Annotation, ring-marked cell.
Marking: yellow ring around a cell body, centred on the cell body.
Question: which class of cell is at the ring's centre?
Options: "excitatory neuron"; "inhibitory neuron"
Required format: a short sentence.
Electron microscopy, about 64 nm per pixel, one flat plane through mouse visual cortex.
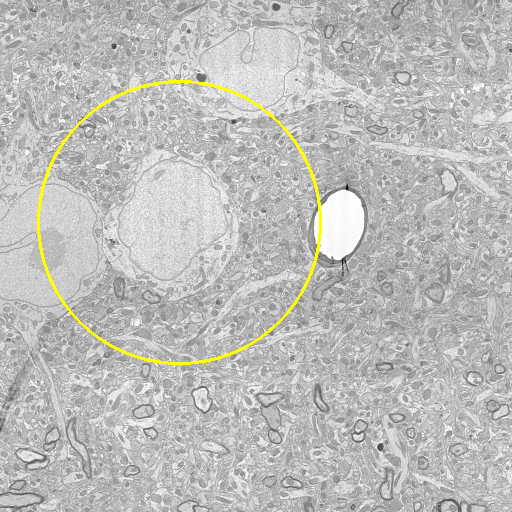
At the ring's centre is an inhibitory neuron.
